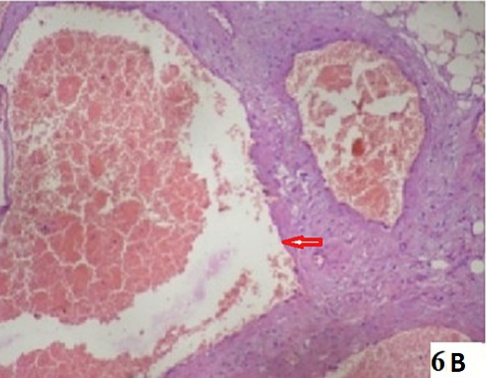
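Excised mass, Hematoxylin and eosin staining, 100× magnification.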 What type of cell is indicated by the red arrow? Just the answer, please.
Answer: Flattened endothelial cells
